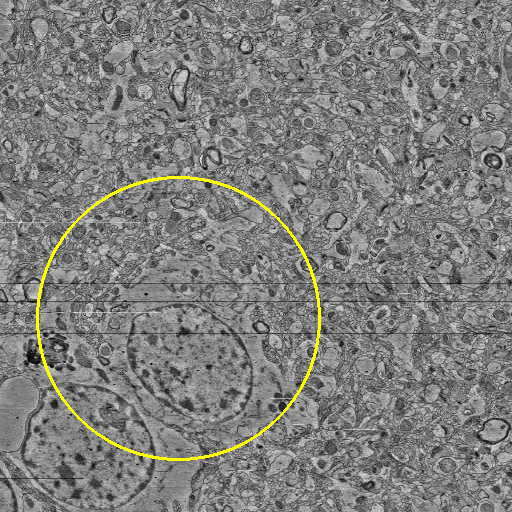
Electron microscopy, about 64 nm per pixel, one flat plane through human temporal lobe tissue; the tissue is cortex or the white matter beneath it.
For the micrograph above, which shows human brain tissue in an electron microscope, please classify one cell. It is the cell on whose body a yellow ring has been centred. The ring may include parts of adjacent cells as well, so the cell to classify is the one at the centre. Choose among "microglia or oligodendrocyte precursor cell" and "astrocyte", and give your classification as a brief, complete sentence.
I classify this cell as an astrocyte.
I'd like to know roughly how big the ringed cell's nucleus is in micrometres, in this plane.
Approximately 9 by 7 micrometers in this plane.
